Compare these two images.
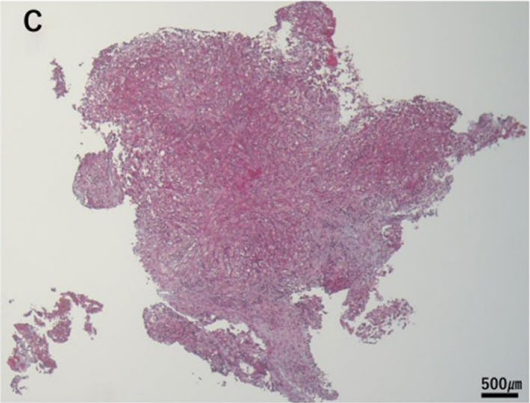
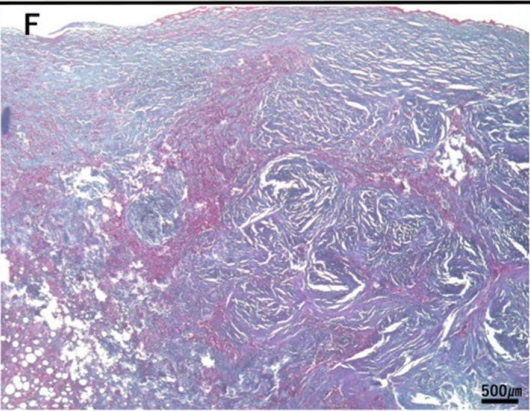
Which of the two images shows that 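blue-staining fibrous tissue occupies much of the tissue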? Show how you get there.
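The second image. Second image: most of the tissue is stained blue with wavy fibre bundles.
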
